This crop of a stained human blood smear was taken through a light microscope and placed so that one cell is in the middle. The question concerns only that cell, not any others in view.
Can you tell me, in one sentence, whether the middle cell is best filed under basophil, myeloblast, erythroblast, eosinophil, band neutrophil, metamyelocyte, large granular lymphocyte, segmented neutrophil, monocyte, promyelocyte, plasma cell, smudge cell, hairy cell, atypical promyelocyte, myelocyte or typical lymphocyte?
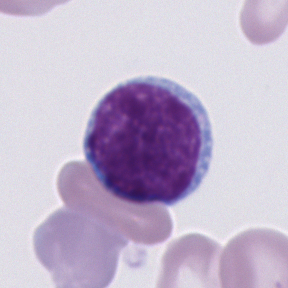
What sits at the centre of this crop is a typical lymphocyte.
